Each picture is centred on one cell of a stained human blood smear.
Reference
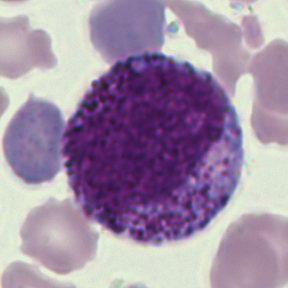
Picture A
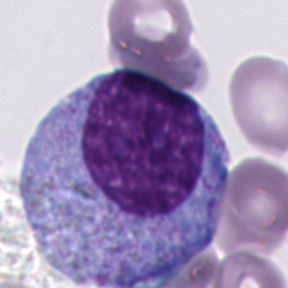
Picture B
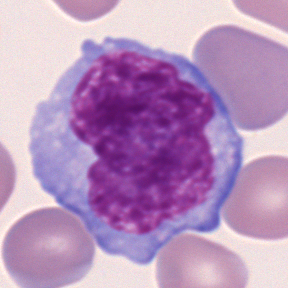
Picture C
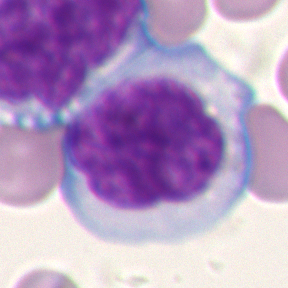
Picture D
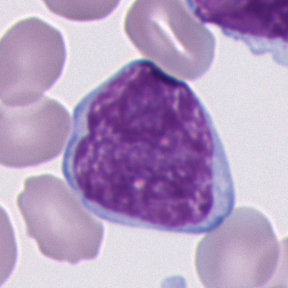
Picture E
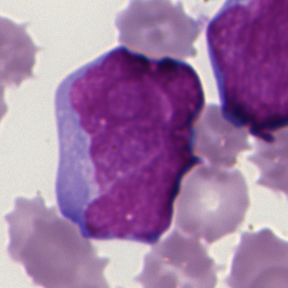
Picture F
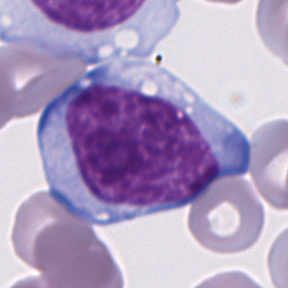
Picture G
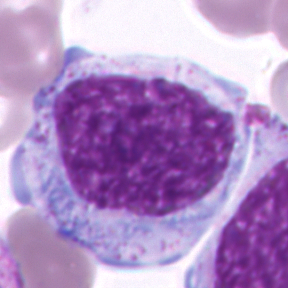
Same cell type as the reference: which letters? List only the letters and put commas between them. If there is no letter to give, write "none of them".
A, G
